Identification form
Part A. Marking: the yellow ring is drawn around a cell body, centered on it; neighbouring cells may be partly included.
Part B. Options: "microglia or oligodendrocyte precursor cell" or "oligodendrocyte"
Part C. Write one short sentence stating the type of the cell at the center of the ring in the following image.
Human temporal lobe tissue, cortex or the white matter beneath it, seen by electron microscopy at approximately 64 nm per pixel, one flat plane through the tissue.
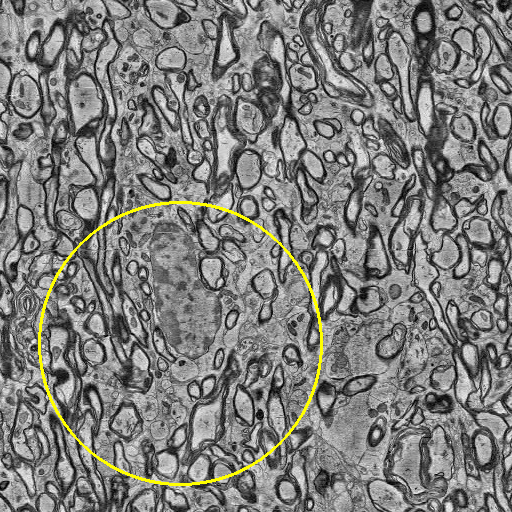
The center of the ring holds a microglial cell or oligodendrocyte precursor cell.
